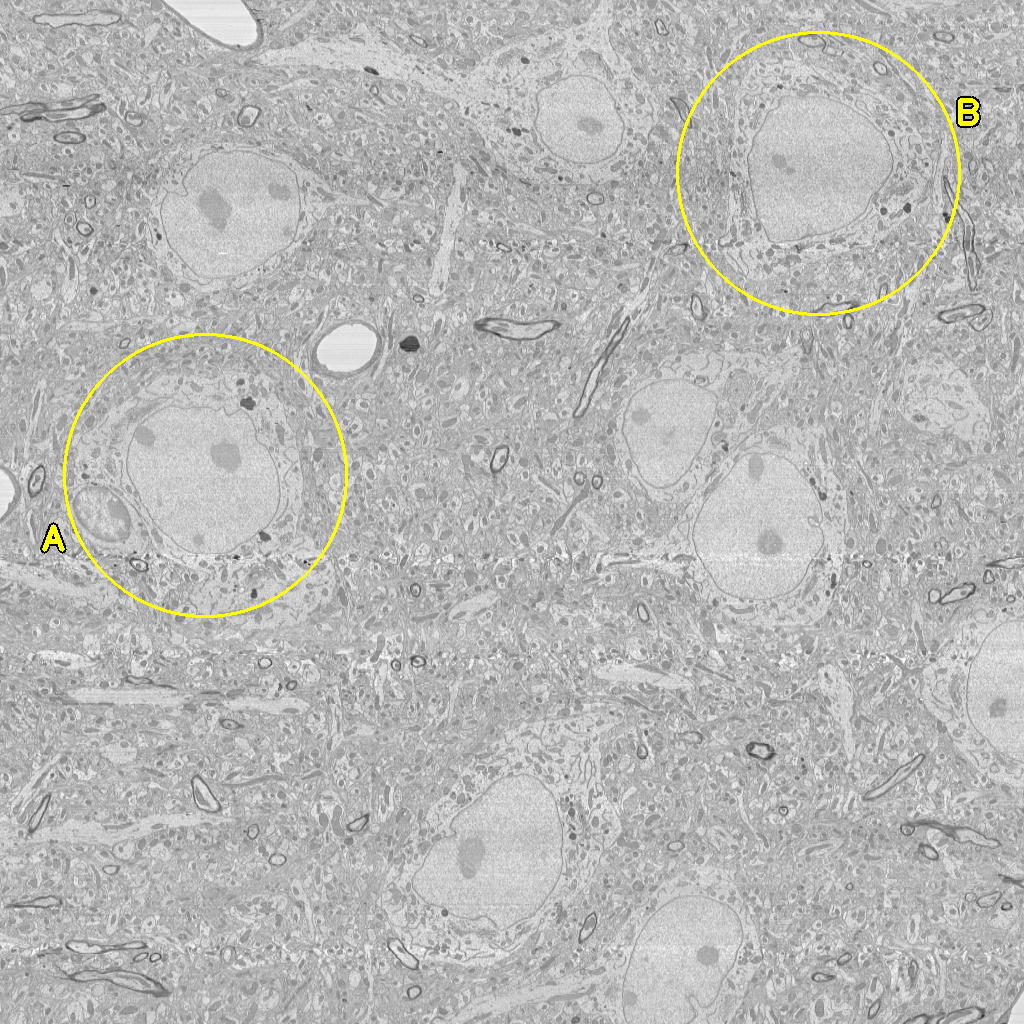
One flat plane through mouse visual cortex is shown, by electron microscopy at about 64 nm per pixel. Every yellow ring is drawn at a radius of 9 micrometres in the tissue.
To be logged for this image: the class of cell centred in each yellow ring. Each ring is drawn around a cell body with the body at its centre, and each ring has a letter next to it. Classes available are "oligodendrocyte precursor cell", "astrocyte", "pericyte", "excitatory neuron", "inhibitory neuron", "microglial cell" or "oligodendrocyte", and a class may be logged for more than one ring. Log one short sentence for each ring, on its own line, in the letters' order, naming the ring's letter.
The class recorded for ring A is an excitatory neuron.
The class recorded for ring B is an inhibitory neuron.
